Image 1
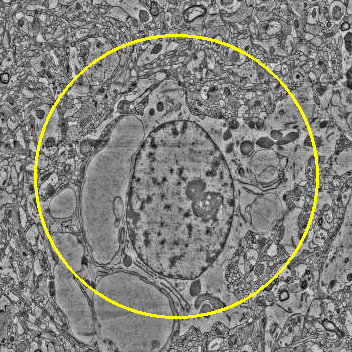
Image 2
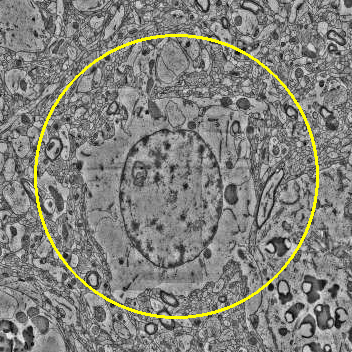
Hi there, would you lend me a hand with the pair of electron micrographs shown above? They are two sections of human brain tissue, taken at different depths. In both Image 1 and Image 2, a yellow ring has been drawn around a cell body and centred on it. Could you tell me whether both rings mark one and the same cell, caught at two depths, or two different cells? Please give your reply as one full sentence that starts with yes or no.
No, two cells, not one, are marked by the yellow rings.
